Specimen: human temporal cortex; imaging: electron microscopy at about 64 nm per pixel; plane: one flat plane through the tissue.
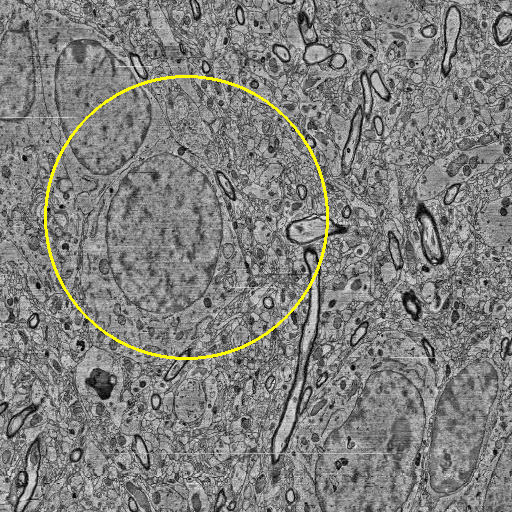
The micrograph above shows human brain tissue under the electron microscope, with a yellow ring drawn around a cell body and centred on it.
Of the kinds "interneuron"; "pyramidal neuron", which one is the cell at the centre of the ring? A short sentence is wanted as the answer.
The one at the centre of the ring is an interneuron.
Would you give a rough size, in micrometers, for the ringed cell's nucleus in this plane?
In this plane, roughly 11 by 8 micrometres.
